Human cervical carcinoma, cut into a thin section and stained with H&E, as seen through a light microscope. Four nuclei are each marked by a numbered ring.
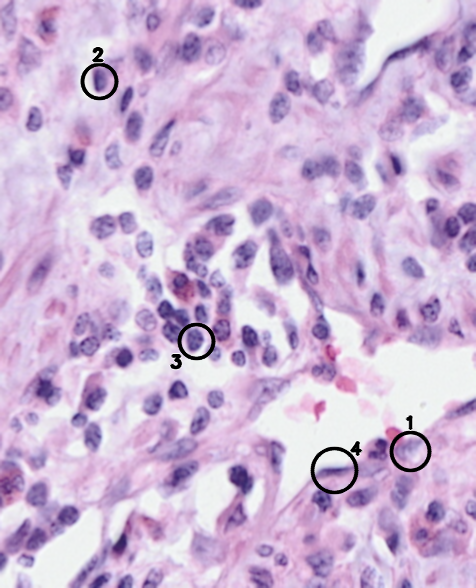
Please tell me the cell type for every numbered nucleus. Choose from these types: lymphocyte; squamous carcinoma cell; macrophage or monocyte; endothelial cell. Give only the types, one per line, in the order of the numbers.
endothelial cell
lymphocyte
lymphocyte
endothelial cell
